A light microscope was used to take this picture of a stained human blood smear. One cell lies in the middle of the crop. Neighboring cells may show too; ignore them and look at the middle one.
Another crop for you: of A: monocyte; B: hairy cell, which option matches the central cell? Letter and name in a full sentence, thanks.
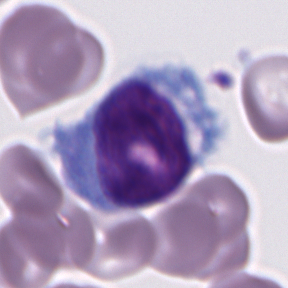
The expected answer is option A, the central cell being a monocyte.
